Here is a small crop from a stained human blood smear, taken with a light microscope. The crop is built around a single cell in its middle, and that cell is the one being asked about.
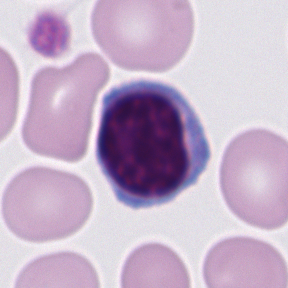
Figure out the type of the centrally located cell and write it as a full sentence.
Looking at the middle of the crop, the cell there is a typical lymphocyte.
